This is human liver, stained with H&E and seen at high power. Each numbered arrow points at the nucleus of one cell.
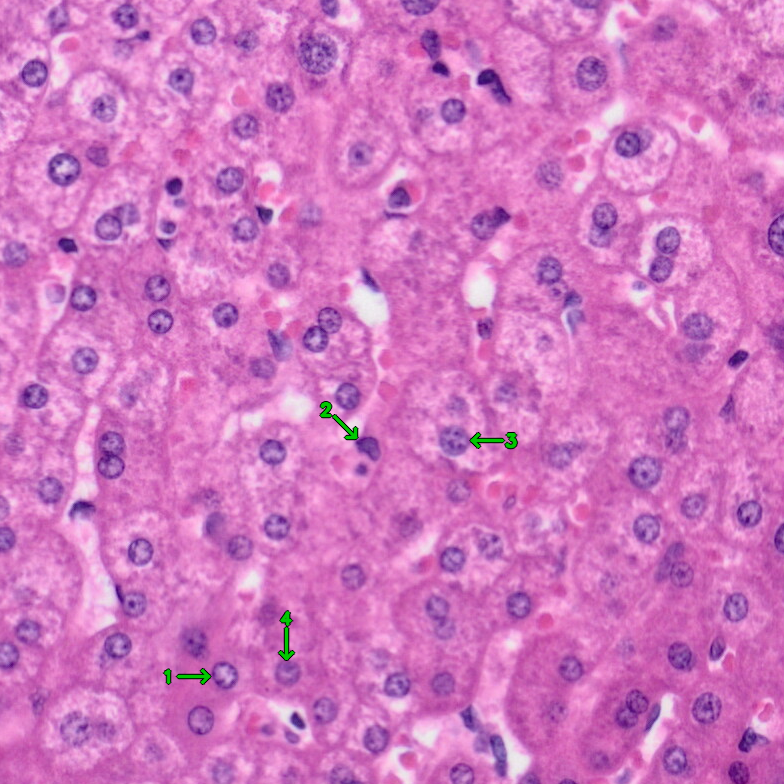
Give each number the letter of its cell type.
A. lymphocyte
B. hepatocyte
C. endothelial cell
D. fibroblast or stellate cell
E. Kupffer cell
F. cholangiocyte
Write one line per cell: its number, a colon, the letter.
1: B
2: E
3: B
4: B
